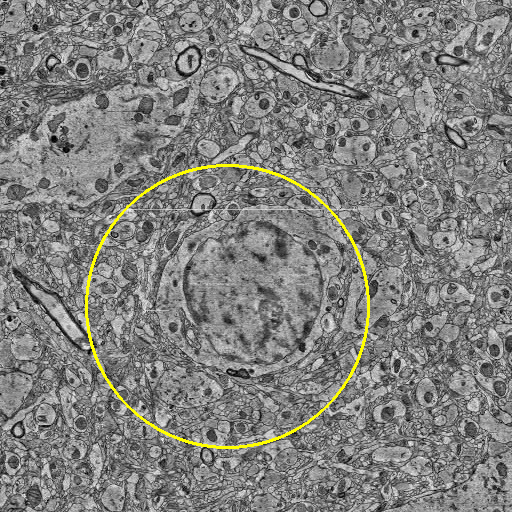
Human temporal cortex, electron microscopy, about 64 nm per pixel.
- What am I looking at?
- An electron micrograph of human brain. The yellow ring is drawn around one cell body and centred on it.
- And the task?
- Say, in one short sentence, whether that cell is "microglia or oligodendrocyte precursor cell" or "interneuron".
The cell in the middle of the ring is an interneuron.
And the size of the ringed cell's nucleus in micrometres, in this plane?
About 9 micrometres across in this plane, for the nucleus.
